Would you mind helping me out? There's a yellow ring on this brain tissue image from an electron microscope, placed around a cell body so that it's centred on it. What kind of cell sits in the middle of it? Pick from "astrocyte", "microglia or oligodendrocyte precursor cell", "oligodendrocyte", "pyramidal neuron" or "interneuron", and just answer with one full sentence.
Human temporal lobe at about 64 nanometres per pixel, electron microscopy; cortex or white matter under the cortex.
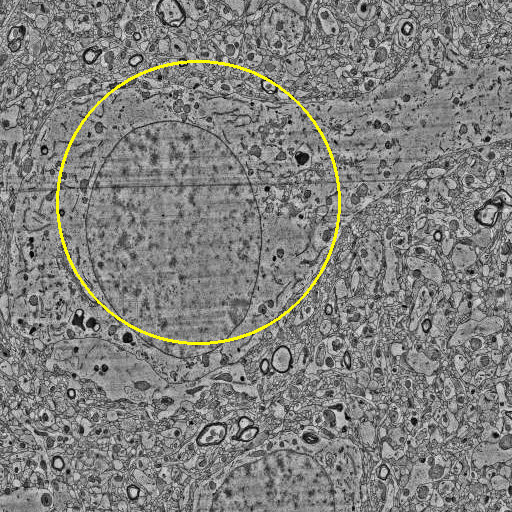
What sits in the middle of that yellow ring is a pyramidal neuron, from your choices.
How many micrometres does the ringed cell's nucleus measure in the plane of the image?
In this plane, approximately 15 by 11 micrometers.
